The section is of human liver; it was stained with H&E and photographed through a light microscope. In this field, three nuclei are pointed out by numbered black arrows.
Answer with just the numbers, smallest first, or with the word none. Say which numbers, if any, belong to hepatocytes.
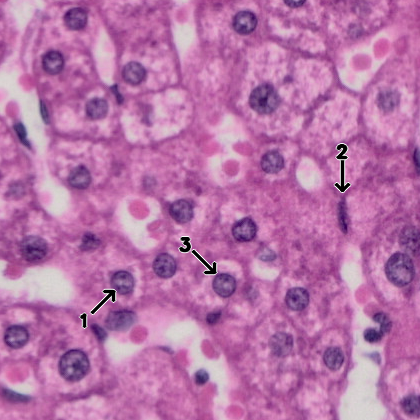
1, 3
